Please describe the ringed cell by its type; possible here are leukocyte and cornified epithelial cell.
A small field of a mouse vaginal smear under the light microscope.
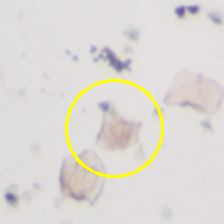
The yellow ring marks a cornified epithelial cell.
